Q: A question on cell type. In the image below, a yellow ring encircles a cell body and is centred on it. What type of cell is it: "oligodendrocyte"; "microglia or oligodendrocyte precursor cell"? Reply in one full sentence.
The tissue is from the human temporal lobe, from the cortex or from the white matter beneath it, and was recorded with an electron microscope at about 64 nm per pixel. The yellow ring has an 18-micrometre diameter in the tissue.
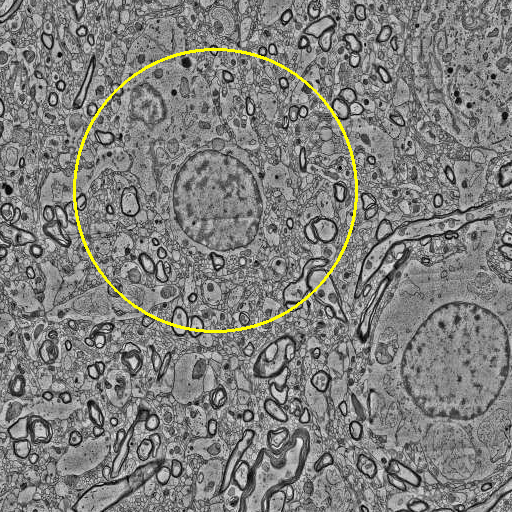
It is an oligodendrocyte whose cell body sits at the centre of the yellow ring in the image.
